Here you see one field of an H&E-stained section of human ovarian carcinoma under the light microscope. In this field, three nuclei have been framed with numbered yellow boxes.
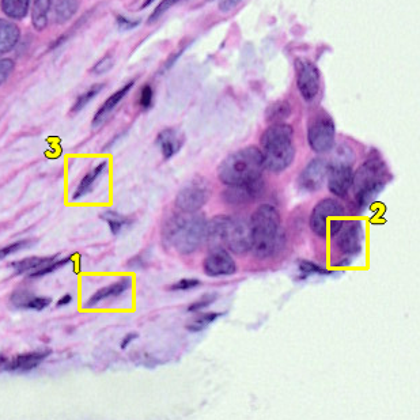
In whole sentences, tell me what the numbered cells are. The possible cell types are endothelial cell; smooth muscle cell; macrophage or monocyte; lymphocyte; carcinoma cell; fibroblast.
Cell 1 is a fibroblast, cell 2 is a carcinoma cell and cell 3 is a fibroblast.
